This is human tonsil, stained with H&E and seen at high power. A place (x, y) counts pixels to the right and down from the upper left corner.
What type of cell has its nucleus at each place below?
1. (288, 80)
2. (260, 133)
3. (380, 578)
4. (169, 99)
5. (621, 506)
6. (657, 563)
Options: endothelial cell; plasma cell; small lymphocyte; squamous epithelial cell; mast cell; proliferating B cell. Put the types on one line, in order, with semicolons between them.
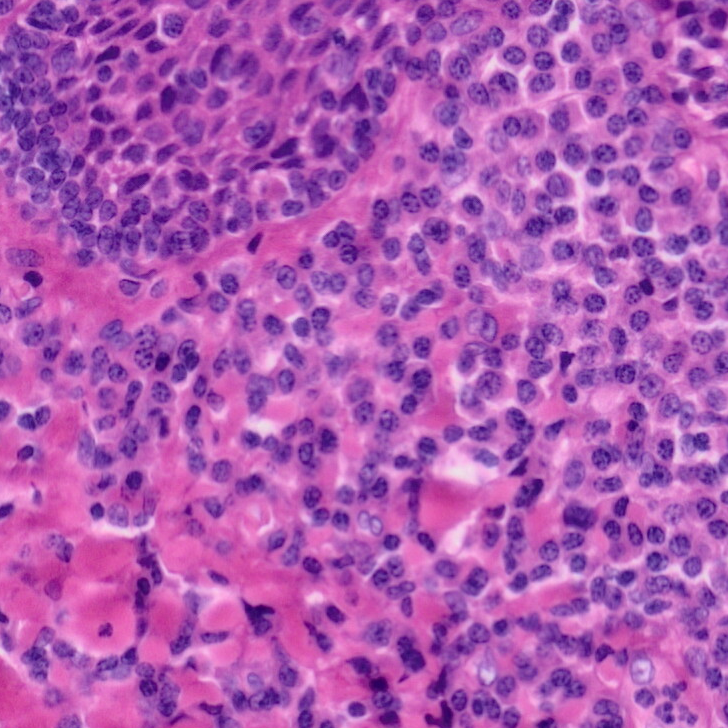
squamous epithelial cell; squamous epithelial cell; plasma cell; squamous epithelial cell; plasma cell; plasma cell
